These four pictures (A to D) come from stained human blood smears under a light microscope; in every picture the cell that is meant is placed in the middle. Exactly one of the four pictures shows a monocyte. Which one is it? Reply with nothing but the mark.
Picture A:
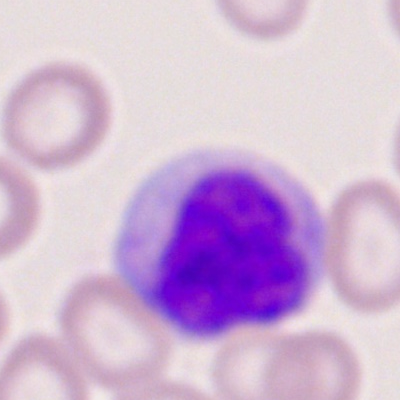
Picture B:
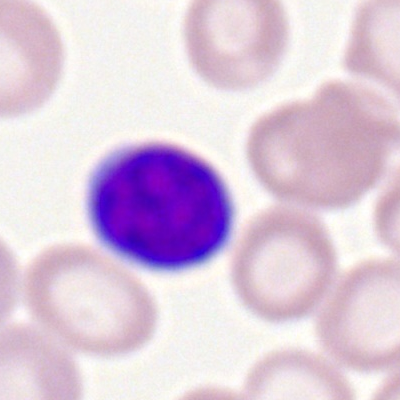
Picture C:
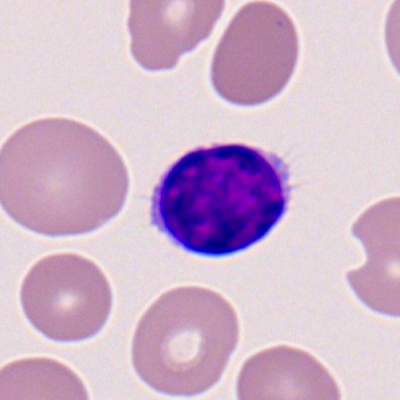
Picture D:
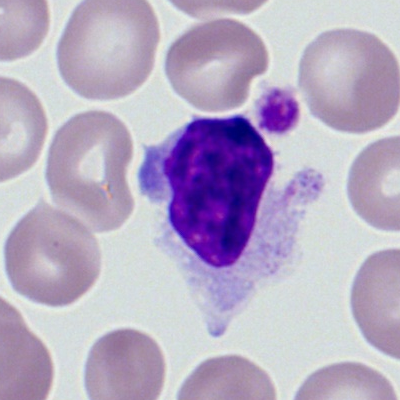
A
